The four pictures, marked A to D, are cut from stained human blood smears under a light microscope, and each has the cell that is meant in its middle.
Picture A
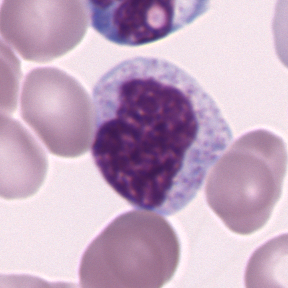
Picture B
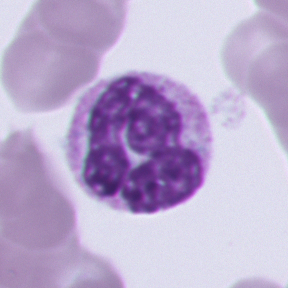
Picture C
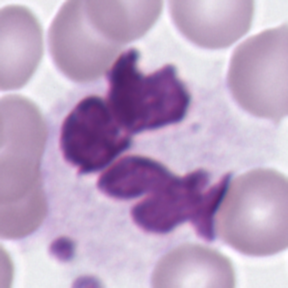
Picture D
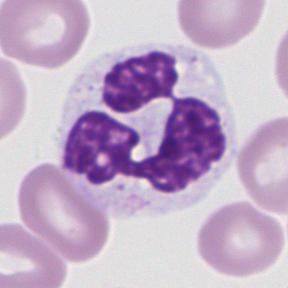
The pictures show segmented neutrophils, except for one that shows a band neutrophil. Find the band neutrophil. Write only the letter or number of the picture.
A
